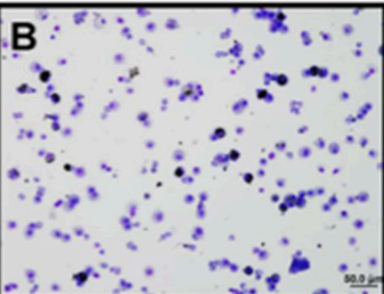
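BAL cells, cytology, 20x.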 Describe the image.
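This lavage smear shows mostly large rounded macrophages with purple-staining nuclei and paler cytoplasm, scattered singly and in small groups. Several of them carry dense black particles within their cytoplasm, and some cells look enlarged and irregular.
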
